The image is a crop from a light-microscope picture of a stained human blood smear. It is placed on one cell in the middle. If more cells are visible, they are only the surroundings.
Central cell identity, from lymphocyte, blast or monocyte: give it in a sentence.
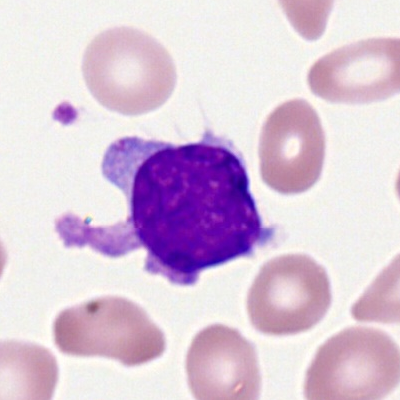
In the center of this field lies a lymphocyte.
